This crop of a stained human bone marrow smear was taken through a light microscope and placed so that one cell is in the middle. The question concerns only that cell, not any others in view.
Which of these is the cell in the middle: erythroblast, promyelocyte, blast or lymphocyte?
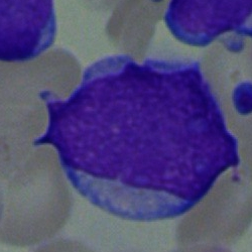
blast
